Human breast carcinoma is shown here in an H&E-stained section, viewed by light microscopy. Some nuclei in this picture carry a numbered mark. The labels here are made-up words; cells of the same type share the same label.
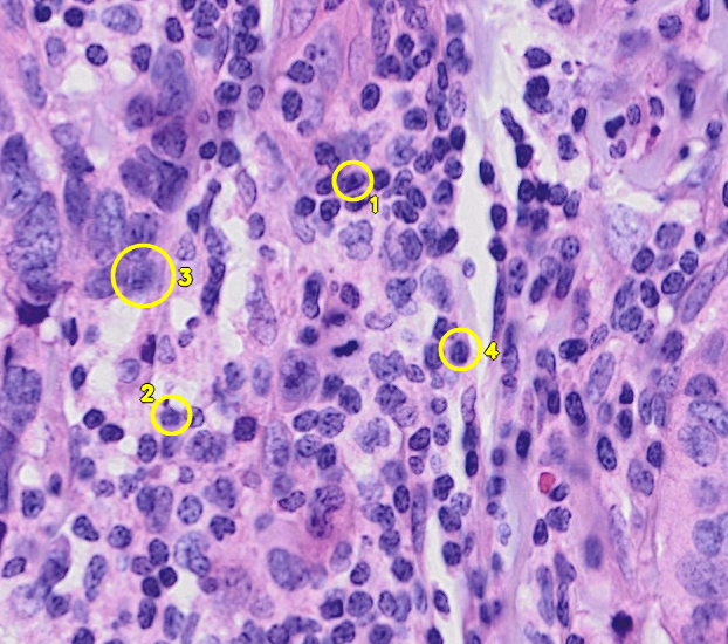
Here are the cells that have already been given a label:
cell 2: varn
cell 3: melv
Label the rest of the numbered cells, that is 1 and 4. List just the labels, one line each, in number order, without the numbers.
varn
varn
